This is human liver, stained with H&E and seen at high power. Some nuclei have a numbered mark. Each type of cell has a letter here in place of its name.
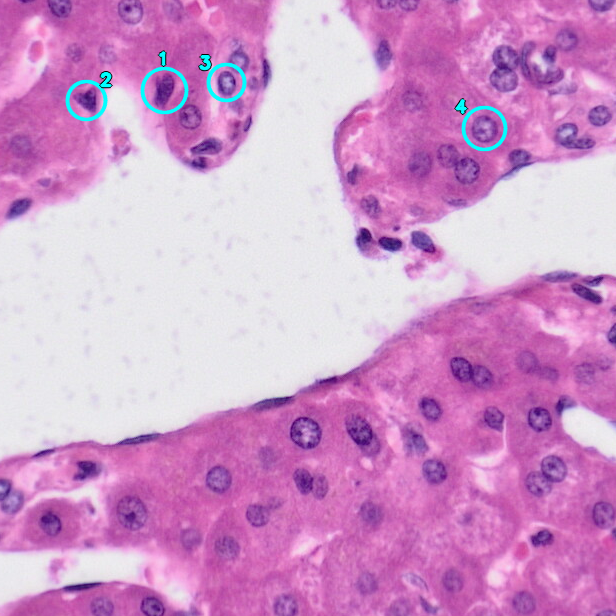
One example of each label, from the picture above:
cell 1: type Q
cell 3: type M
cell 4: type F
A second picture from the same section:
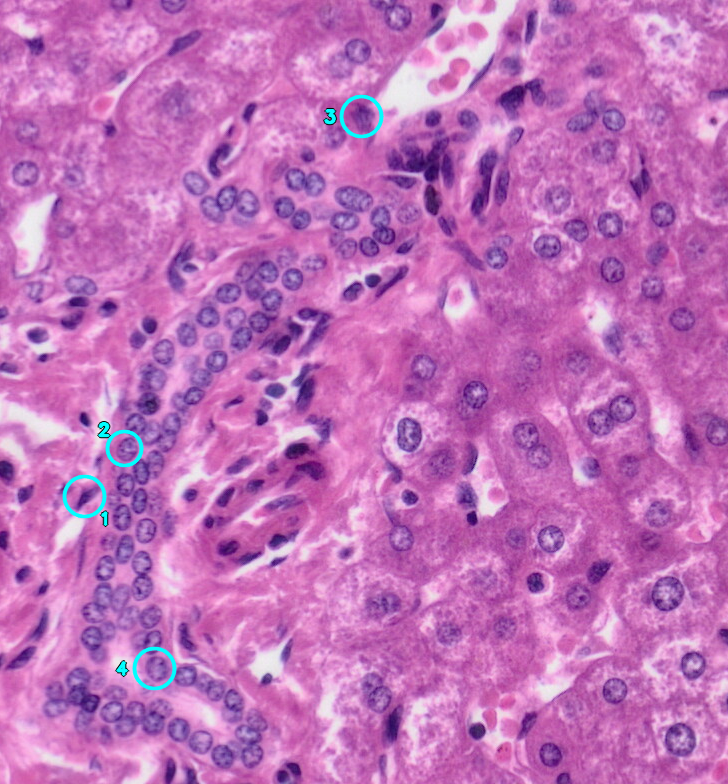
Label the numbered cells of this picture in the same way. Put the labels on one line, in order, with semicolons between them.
type Q; type M; type Q; type M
